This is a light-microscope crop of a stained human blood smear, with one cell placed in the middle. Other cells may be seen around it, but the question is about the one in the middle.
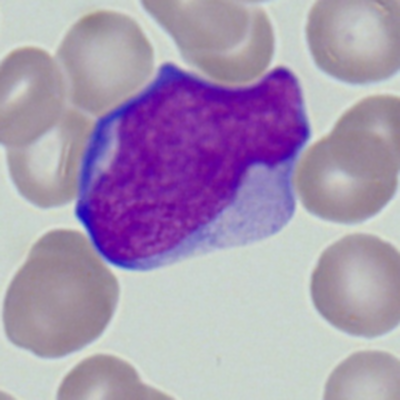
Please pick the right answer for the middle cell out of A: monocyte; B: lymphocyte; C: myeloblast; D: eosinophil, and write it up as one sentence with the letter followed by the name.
Given that the cell in the middle is a myeloblast, option C is correct.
